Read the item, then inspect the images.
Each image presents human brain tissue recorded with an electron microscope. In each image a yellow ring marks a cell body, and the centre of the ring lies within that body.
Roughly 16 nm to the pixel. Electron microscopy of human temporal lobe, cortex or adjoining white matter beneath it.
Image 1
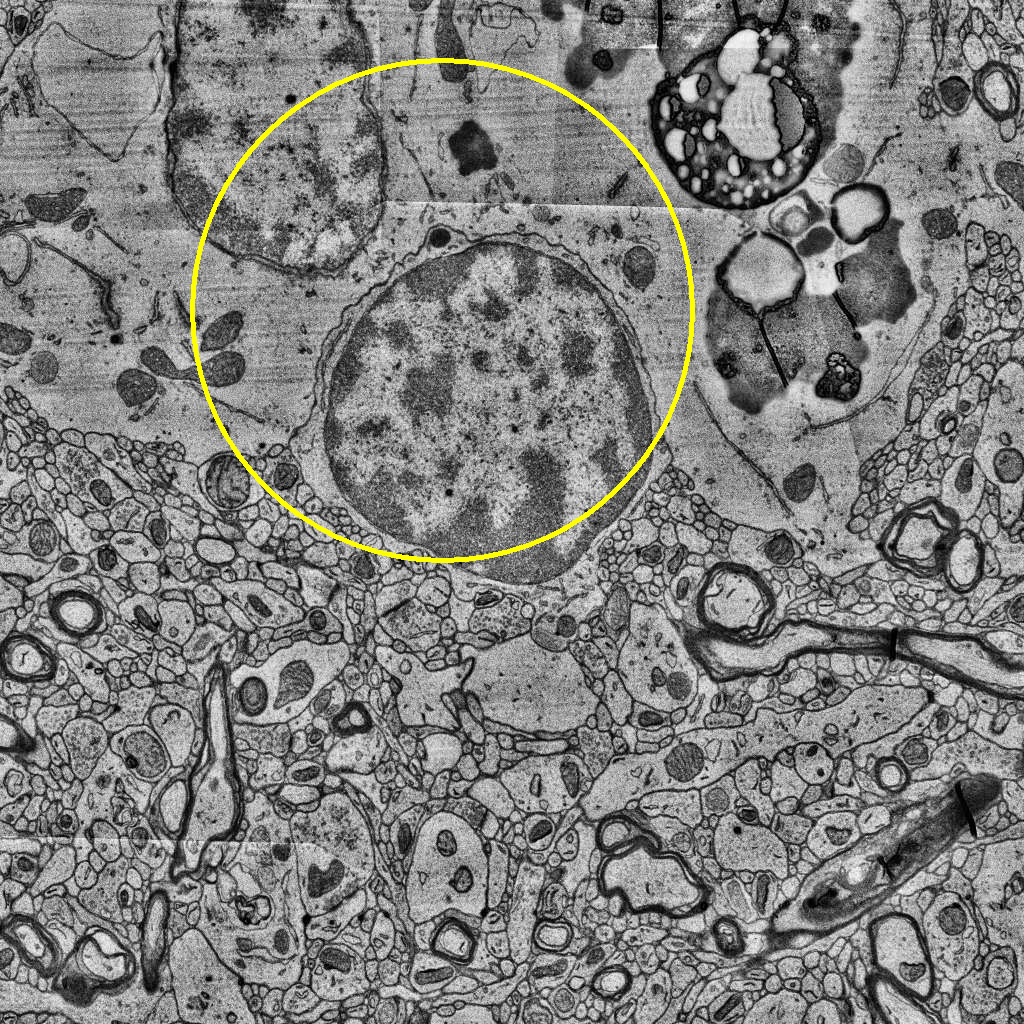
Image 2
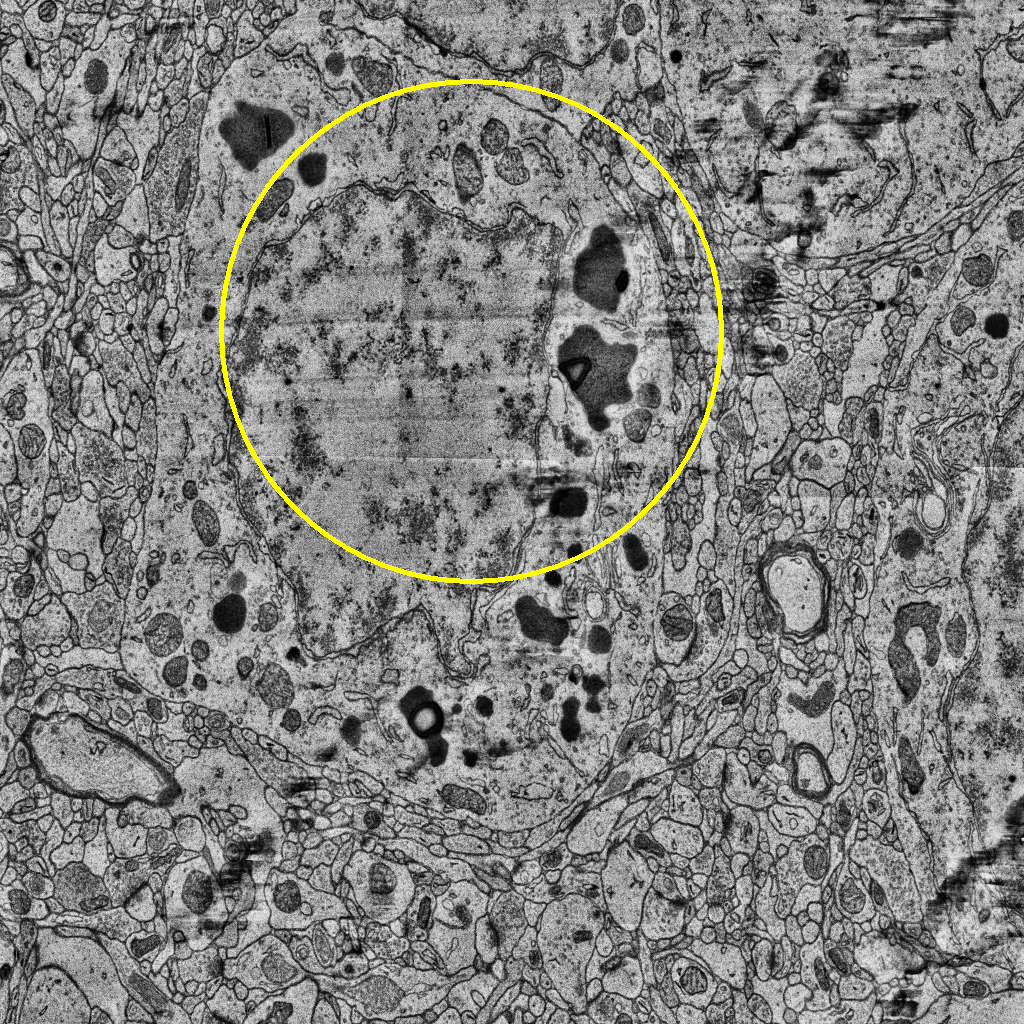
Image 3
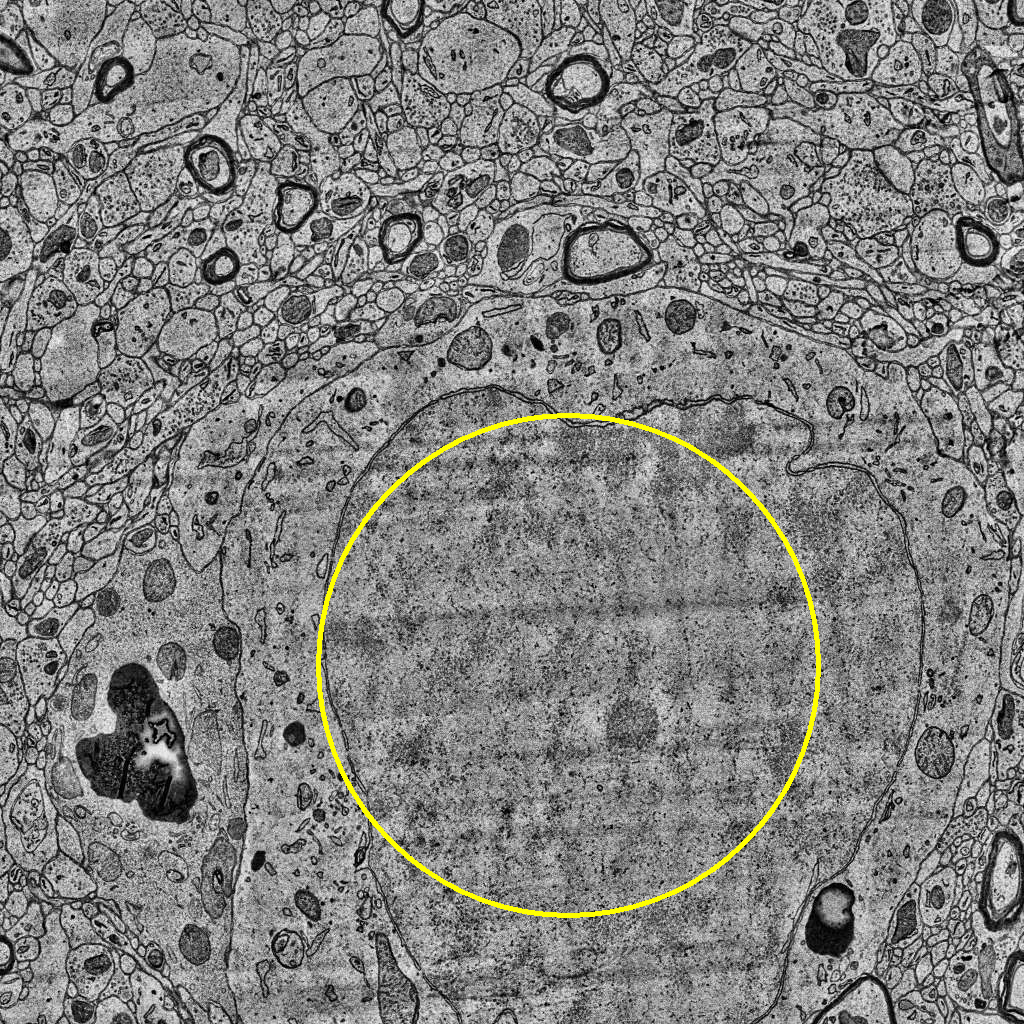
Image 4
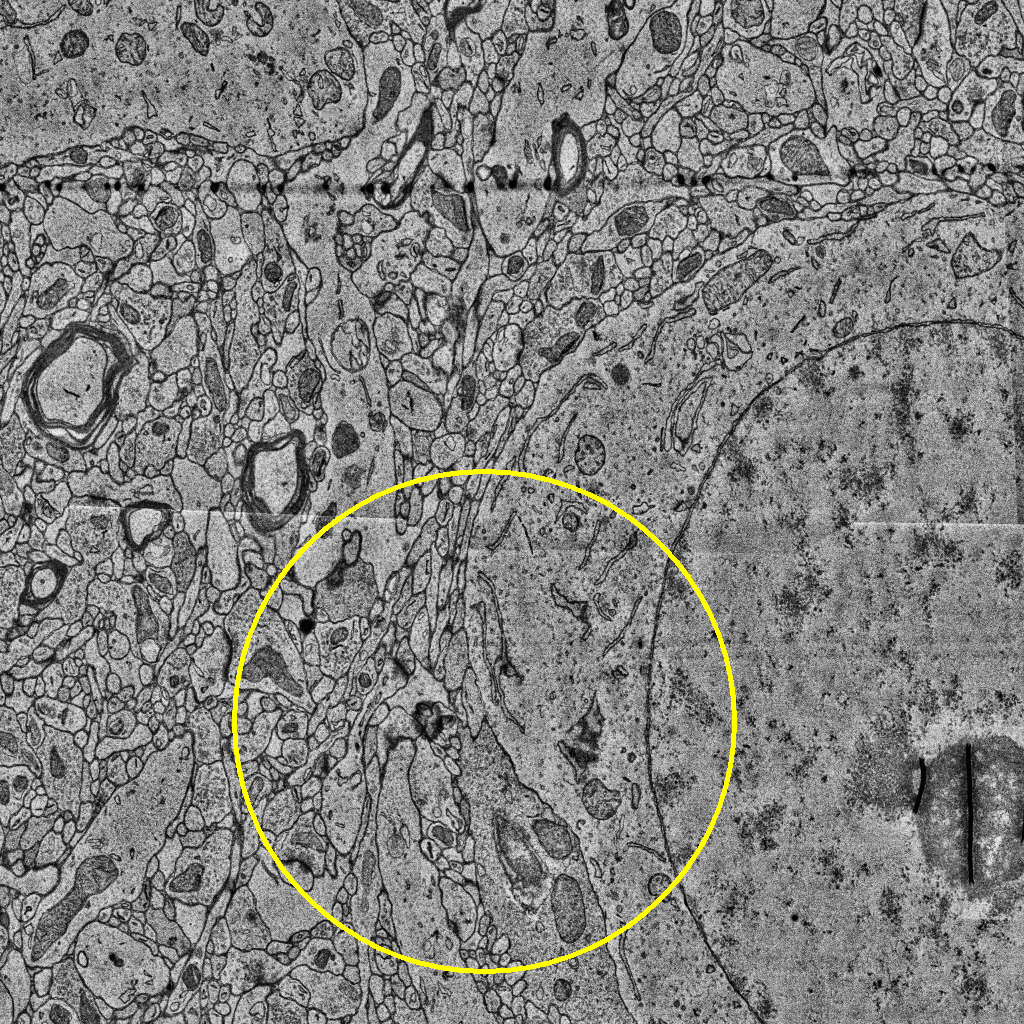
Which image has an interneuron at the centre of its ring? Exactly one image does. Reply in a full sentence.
The centre of the ring in Image 2 lies within it.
